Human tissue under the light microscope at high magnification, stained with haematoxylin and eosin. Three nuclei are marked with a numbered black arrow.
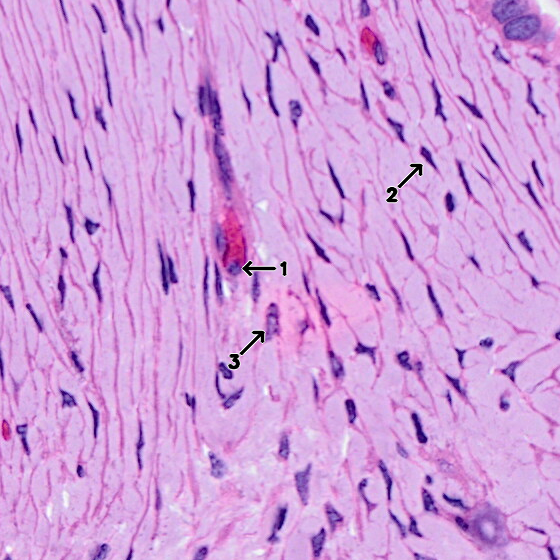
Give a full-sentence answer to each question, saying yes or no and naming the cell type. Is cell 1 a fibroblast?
No, number 1 does not mark a fibroblast; it marks an endothelial cell.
